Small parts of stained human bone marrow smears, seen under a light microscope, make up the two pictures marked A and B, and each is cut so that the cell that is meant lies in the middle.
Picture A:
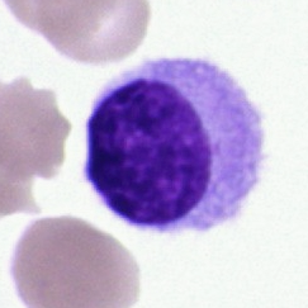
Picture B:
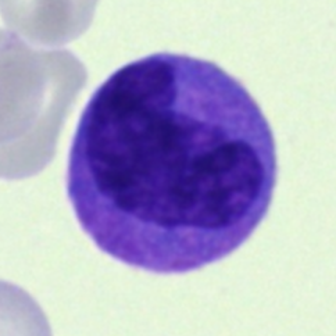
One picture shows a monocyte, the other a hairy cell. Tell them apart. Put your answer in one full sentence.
Picture A is of a hairy cell, and picture B is of a monocyte.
